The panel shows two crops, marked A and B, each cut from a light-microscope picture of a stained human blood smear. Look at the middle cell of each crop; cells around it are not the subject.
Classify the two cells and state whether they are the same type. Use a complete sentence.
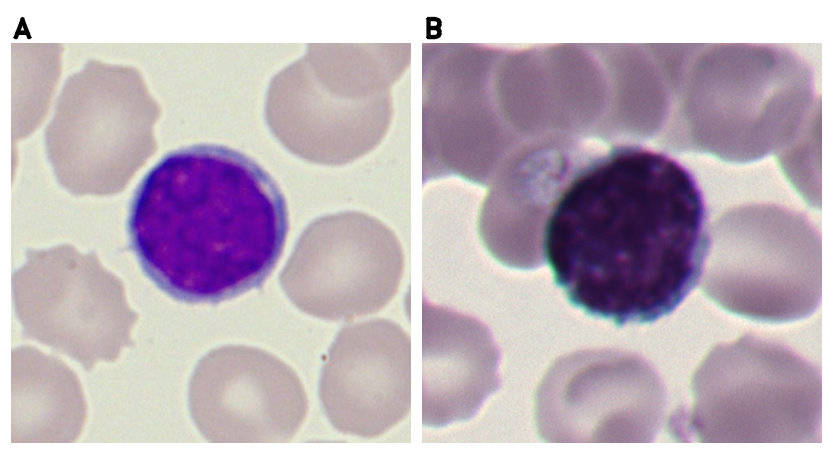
Yes, the two cells in the two crops are lymphocytes.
